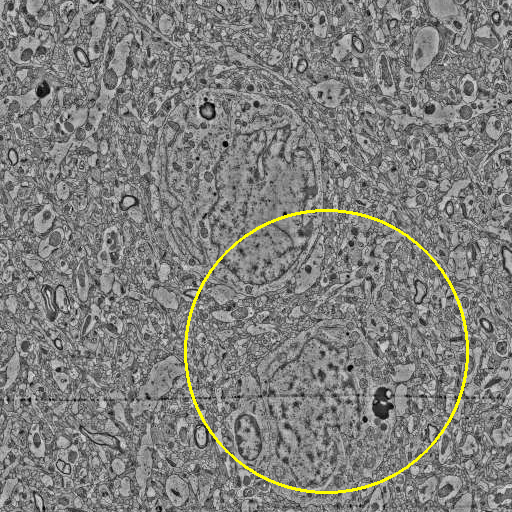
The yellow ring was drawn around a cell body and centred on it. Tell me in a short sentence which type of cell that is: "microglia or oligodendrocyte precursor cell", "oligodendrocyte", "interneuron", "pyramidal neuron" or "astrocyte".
The cell at the ring's centre is an interneuron.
